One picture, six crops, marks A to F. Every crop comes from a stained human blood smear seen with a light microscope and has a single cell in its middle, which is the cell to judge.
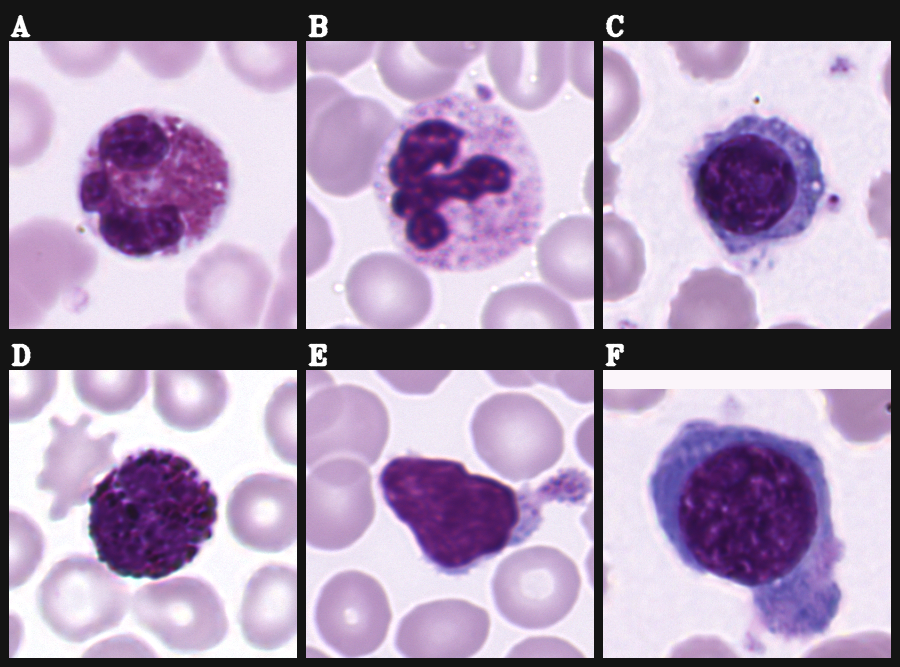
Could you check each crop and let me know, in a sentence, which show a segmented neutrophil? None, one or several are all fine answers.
In this set, a segmented neutrophil turns up only in crop B.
